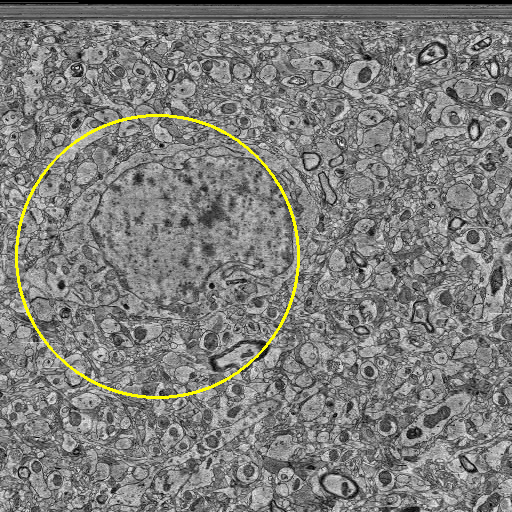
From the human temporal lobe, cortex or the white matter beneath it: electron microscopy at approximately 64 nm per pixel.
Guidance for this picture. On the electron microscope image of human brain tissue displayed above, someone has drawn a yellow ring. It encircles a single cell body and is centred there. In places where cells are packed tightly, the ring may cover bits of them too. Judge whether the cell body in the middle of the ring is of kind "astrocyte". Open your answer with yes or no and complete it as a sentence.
No, another kind matches the cell whose body lies at the ring's centre in the image above.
